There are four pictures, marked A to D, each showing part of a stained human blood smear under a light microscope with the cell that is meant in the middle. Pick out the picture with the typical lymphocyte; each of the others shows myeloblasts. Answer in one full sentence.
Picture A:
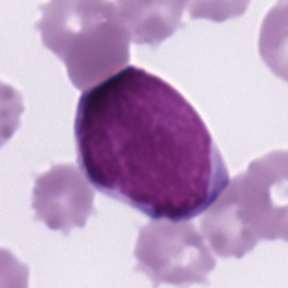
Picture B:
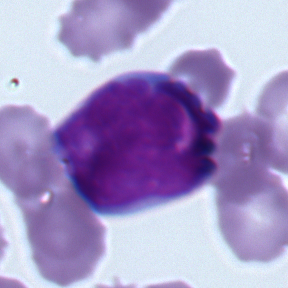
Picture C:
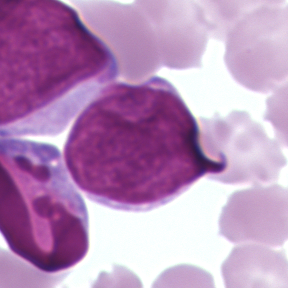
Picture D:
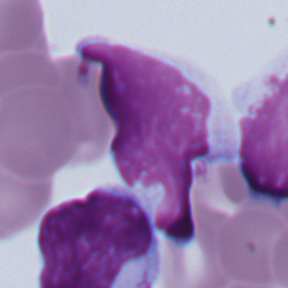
The typical lymphocyte is the one in picture D.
